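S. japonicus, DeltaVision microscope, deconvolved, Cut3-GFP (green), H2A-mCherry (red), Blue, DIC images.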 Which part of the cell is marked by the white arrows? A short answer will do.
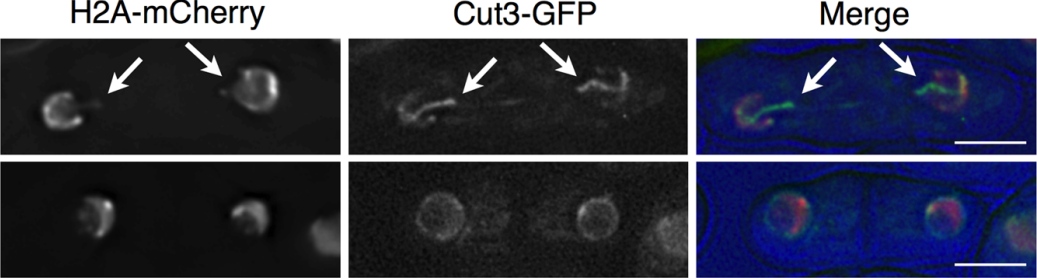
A: mitotic chromosomes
